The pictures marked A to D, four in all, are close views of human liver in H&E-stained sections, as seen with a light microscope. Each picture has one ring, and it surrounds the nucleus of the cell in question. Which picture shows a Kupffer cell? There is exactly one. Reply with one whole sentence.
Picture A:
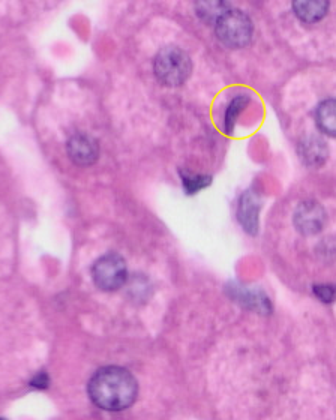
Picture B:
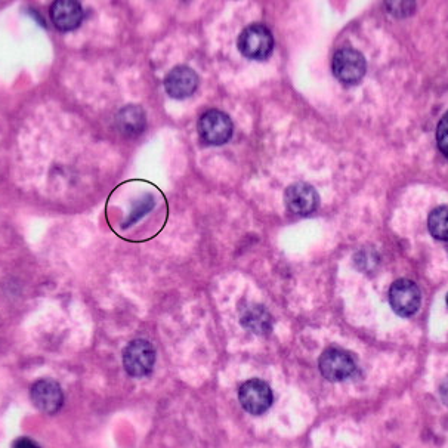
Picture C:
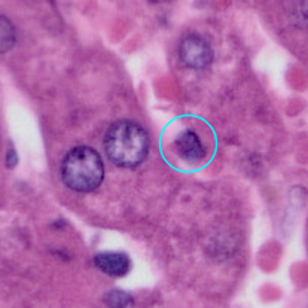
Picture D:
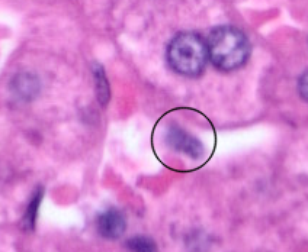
The picture with the Kupffer cell is D.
